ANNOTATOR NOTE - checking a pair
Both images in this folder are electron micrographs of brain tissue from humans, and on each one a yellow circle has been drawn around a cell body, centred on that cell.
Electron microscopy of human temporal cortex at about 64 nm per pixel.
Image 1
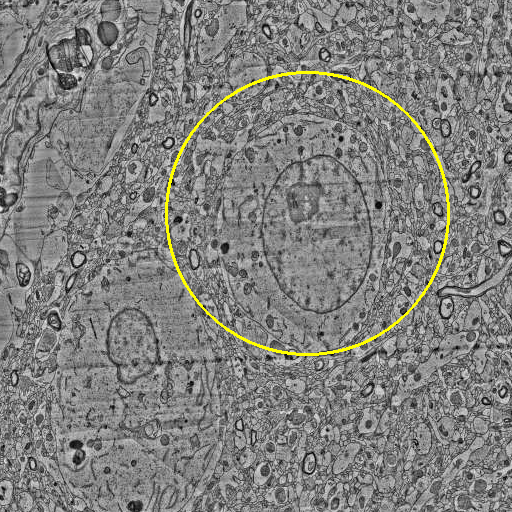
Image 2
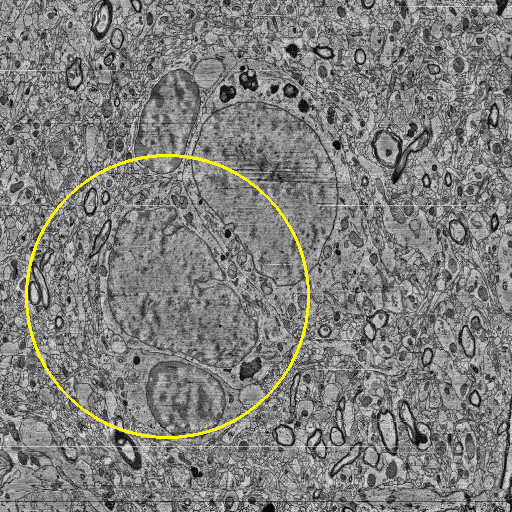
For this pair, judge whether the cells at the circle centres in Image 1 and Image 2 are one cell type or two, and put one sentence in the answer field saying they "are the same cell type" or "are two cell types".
For this pair, the cells at the circle centres in Images 1 and 2 are two cell types.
